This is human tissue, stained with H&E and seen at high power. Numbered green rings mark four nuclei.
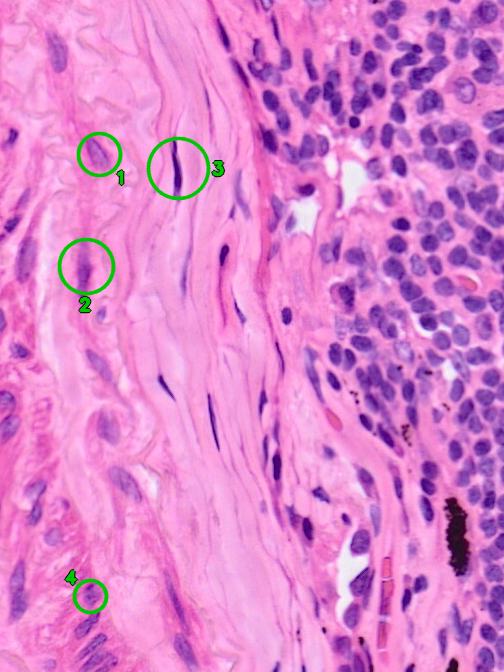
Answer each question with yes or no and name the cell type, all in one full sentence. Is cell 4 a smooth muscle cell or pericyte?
Yes, in this tissue section, number 4 is a smooth muscle cell or pericyte.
